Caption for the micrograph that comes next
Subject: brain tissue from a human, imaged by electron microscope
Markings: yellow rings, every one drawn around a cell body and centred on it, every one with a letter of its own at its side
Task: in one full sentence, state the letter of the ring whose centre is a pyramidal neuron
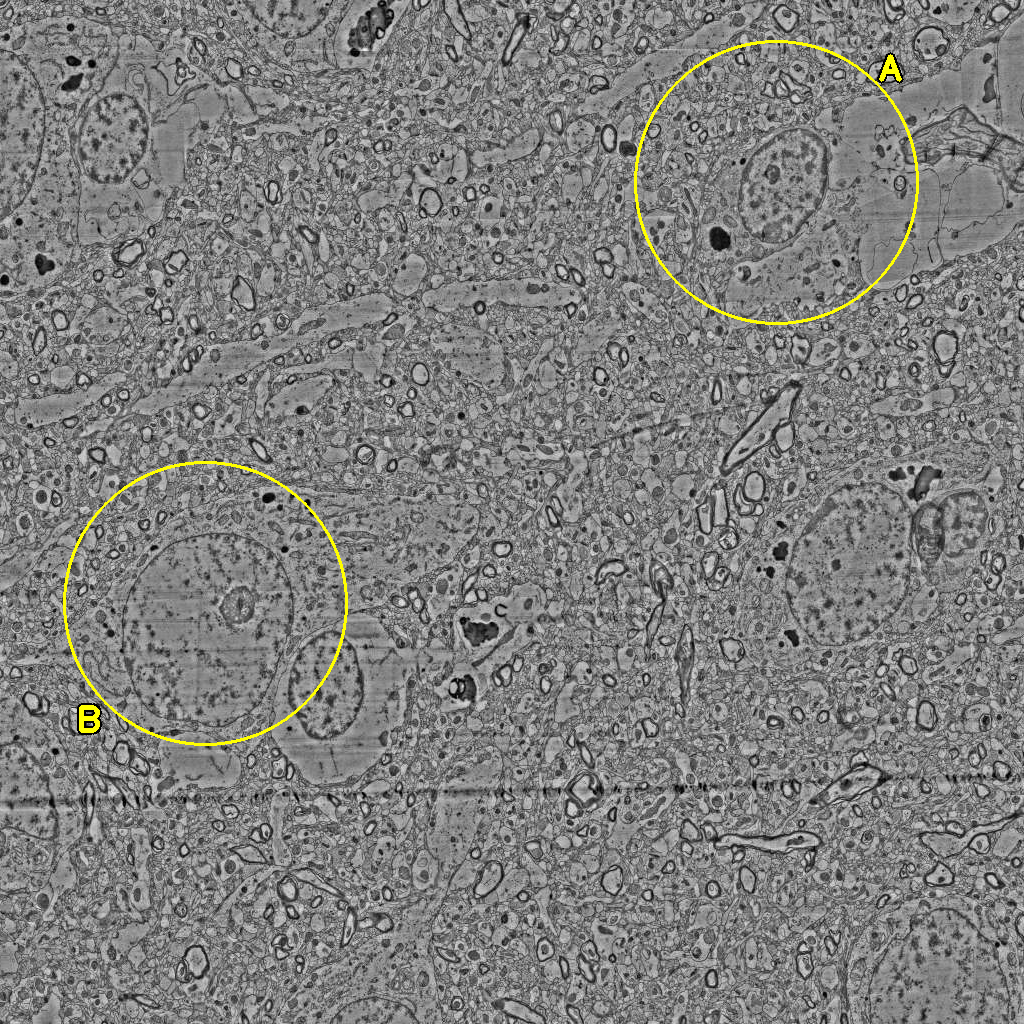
The ring centred on the cell asked for in this micrograph carries the letter B.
